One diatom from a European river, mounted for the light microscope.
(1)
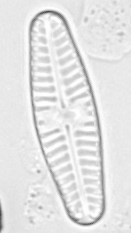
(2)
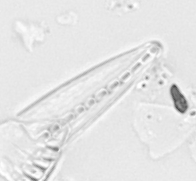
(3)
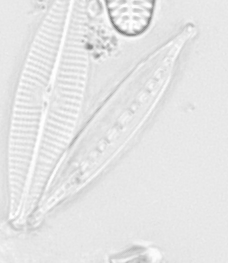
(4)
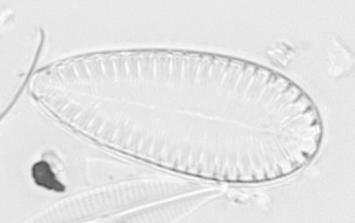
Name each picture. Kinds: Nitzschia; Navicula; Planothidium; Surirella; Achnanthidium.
1: Planothidium
2: Nitzschia
3: Nitzschia
4: Surirella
